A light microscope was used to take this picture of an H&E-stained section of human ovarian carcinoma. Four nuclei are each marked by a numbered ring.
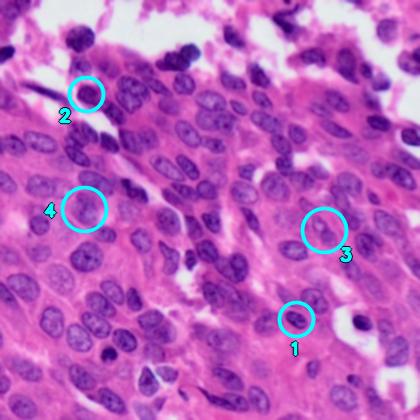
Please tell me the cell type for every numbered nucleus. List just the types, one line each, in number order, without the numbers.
macrophage or monocyte
carcinoma cell
carcinoma cell
carcinoma cell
